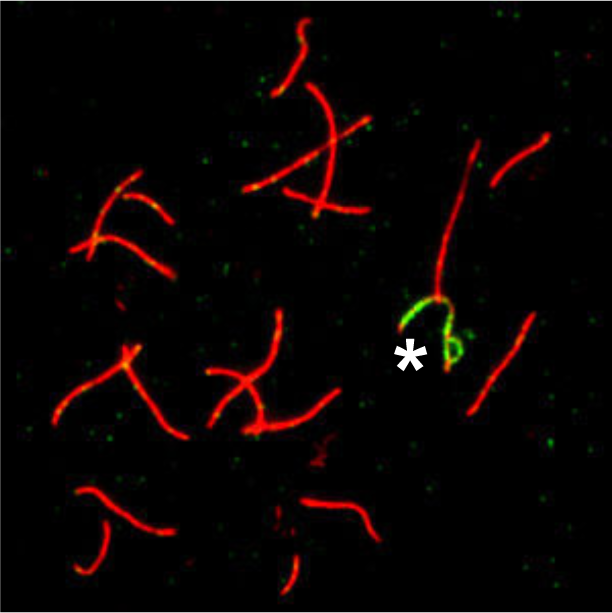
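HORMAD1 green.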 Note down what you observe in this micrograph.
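This is a spread nucleus of a spermatocyte at pachytene, with about twenty red chromosome axes that are paired along their whole length. Most axes are red only, with a faint dotting of green, while one small pair of axes, partly unpaired and looped, is coated in green; this is the sex body.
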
